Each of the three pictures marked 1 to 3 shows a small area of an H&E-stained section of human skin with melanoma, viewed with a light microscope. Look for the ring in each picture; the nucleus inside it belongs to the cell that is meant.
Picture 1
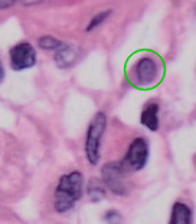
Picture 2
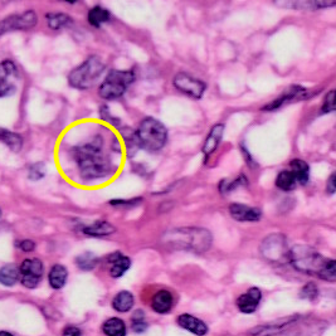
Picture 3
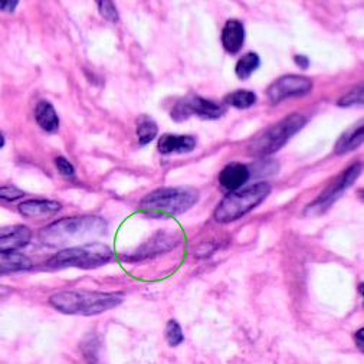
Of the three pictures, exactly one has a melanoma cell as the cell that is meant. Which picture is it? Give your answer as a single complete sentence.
It is picture 2 that shows the melanoma cell.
